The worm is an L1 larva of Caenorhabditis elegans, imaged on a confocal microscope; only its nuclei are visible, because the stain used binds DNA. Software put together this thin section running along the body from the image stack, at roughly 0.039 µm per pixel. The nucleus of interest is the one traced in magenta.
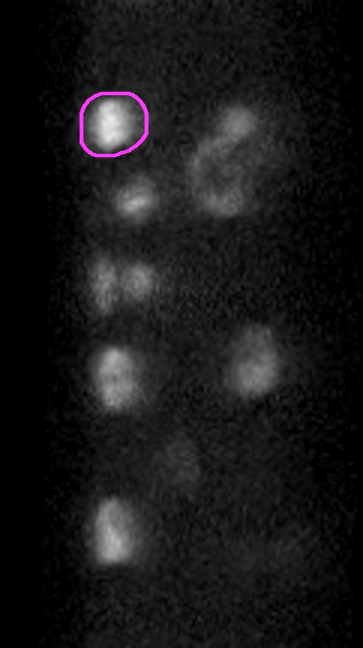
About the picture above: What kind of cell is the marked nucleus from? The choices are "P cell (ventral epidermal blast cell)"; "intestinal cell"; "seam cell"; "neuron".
neuron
